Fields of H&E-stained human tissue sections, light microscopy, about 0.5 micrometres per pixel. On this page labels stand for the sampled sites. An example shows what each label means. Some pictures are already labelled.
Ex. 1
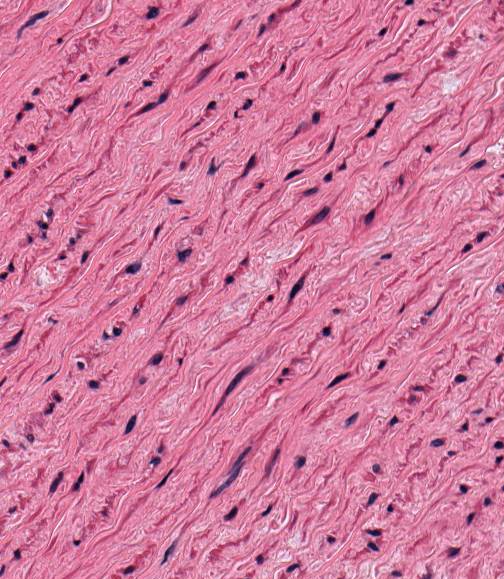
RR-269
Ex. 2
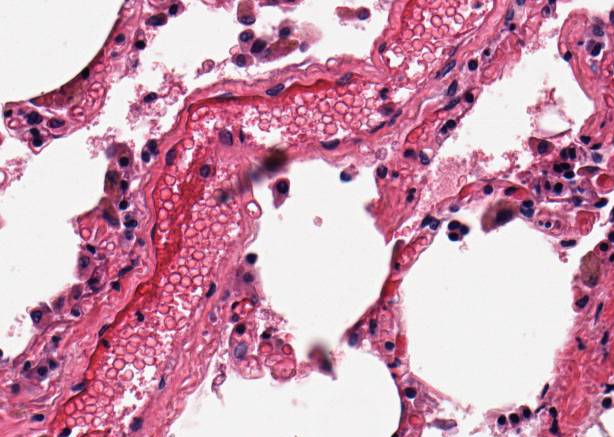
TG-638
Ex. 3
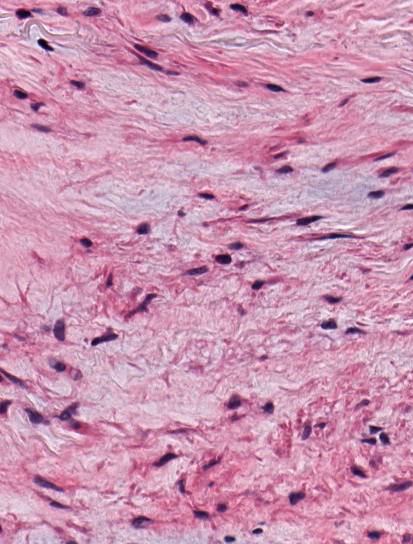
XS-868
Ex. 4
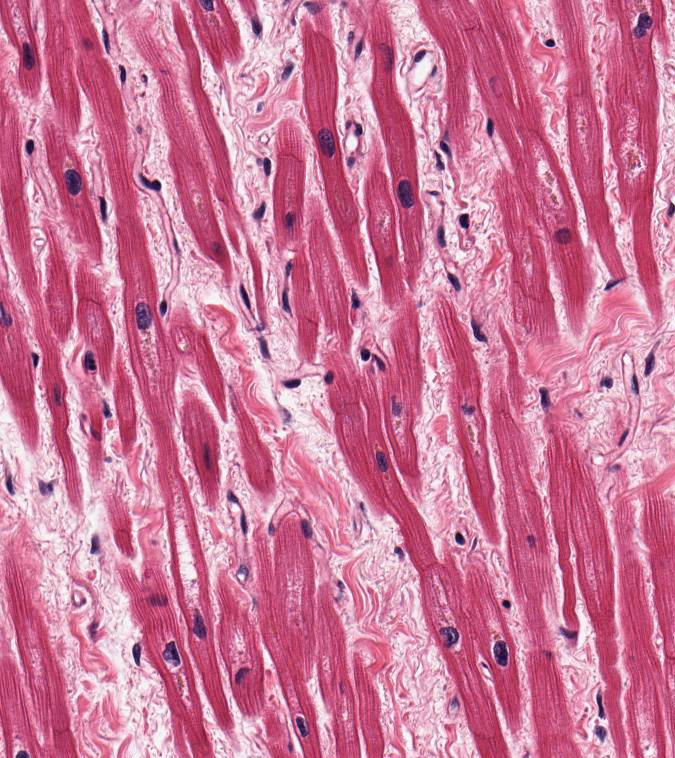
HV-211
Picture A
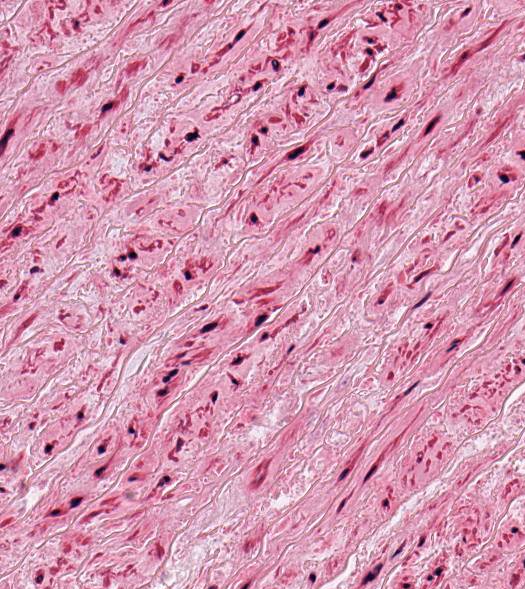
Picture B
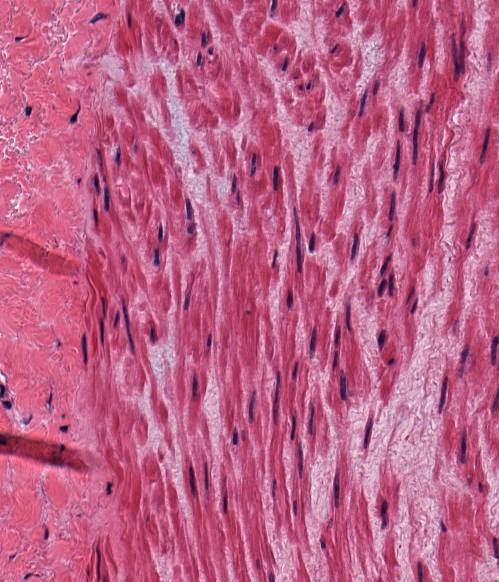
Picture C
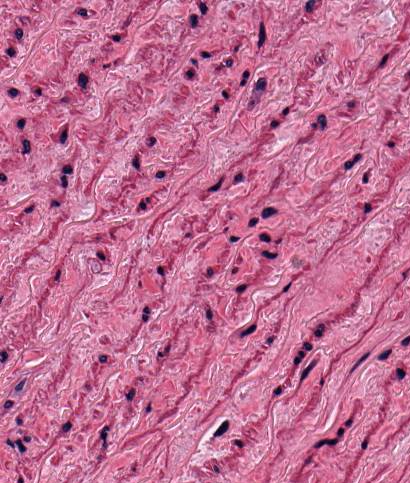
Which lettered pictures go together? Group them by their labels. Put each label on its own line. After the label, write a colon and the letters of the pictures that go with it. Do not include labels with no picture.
RR-269: A, C
XS-868: B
